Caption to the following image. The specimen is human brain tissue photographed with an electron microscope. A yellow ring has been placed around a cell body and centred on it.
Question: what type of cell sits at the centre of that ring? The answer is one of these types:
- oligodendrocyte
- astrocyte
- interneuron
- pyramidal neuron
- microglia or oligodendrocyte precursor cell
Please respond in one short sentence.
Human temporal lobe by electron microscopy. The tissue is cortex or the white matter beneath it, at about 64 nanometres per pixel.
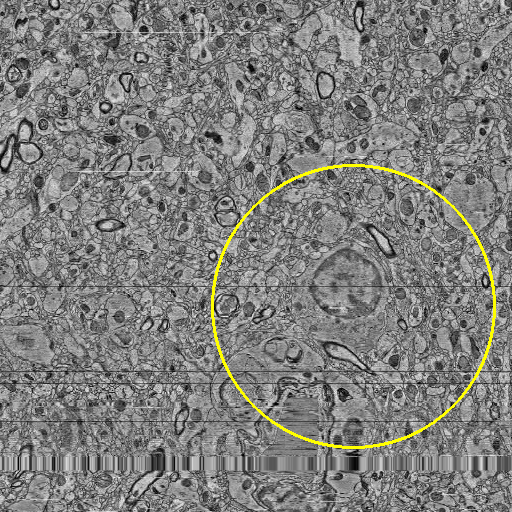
The ring surrounds the cell body of an oligodendrocyte.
